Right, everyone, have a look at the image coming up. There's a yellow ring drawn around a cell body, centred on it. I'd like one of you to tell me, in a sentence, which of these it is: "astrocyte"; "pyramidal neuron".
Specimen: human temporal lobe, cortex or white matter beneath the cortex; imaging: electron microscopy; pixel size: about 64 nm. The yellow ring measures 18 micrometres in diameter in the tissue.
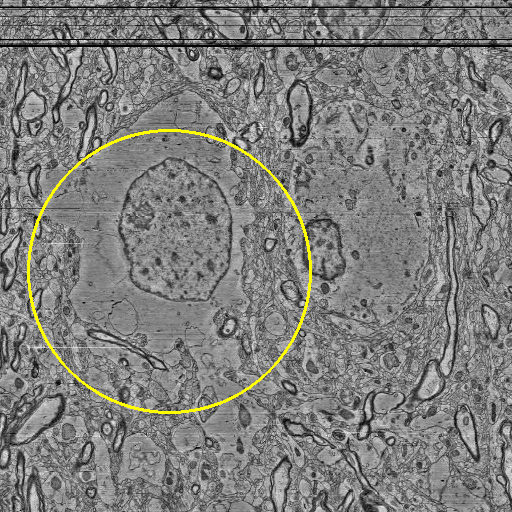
The yellow ring sits on an astrocyte.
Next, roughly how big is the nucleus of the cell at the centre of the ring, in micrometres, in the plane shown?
In this plane, about 10 micrometres in length and 7 in width.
